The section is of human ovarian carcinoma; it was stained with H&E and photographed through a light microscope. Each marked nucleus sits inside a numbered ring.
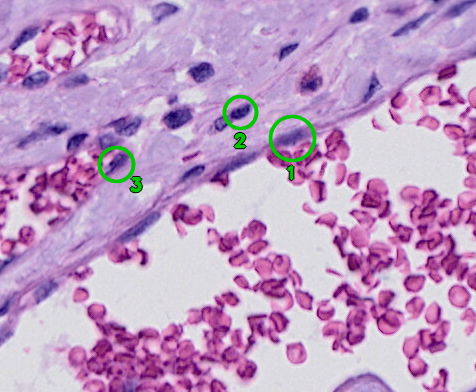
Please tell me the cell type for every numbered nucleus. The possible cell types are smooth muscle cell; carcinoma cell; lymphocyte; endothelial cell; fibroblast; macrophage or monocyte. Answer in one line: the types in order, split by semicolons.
endothelial cell; lymphocyte; endothelial cell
